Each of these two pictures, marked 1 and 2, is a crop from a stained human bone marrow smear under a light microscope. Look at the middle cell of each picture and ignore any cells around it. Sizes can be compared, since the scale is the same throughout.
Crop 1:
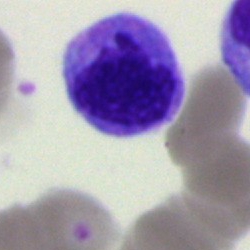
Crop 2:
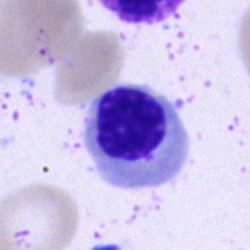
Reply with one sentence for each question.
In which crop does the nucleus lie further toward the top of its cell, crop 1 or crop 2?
Seen within its cell, the nucleus in crop 2 lies further toward the top.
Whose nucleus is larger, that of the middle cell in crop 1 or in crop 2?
It is the nucleus in crop 1, about 1.5 times as large in area as the one in crop 2.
